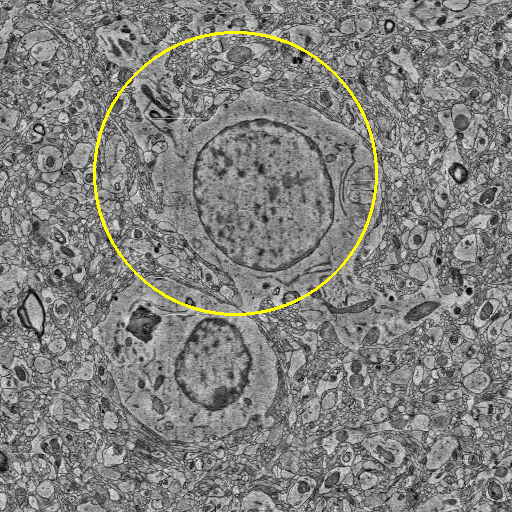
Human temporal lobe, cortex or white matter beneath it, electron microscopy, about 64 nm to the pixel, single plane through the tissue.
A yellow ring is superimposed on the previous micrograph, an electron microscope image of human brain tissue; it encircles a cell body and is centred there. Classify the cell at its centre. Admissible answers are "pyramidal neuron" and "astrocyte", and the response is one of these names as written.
astrocyte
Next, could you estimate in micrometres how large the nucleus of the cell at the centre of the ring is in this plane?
The nucleus of the ringed cell is approximately 9 micrometres across in this plane.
